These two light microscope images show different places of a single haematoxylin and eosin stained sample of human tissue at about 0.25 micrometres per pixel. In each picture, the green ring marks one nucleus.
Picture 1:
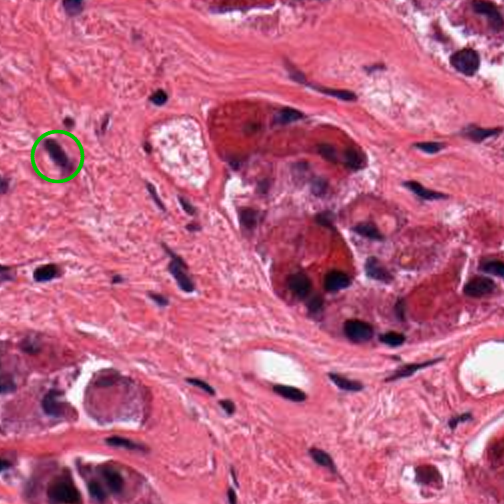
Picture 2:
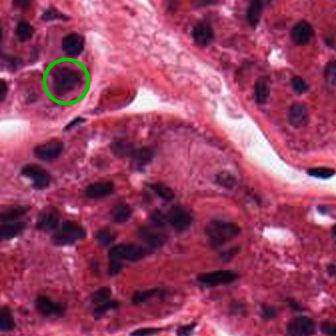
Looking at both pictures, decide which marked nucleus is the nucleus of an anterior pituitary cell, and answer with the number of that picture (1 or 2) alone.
2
